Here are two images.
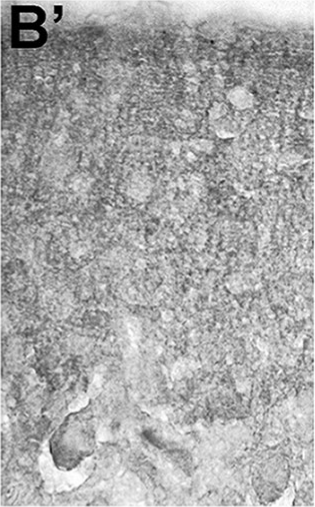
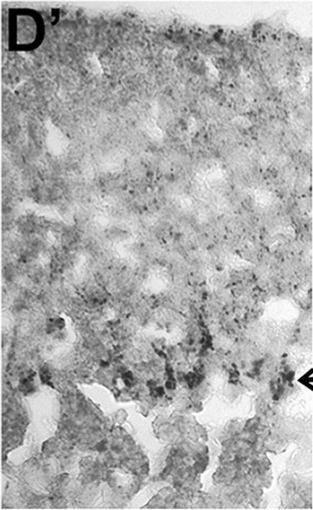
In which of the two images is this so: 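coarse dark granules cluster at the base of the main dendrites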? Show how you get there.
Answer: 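Second image: dark coarse granules gather in a band just above the large cell bodies. First image: fine, even grey dotting with no dark clusters above the cell bodies. So: the second image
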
